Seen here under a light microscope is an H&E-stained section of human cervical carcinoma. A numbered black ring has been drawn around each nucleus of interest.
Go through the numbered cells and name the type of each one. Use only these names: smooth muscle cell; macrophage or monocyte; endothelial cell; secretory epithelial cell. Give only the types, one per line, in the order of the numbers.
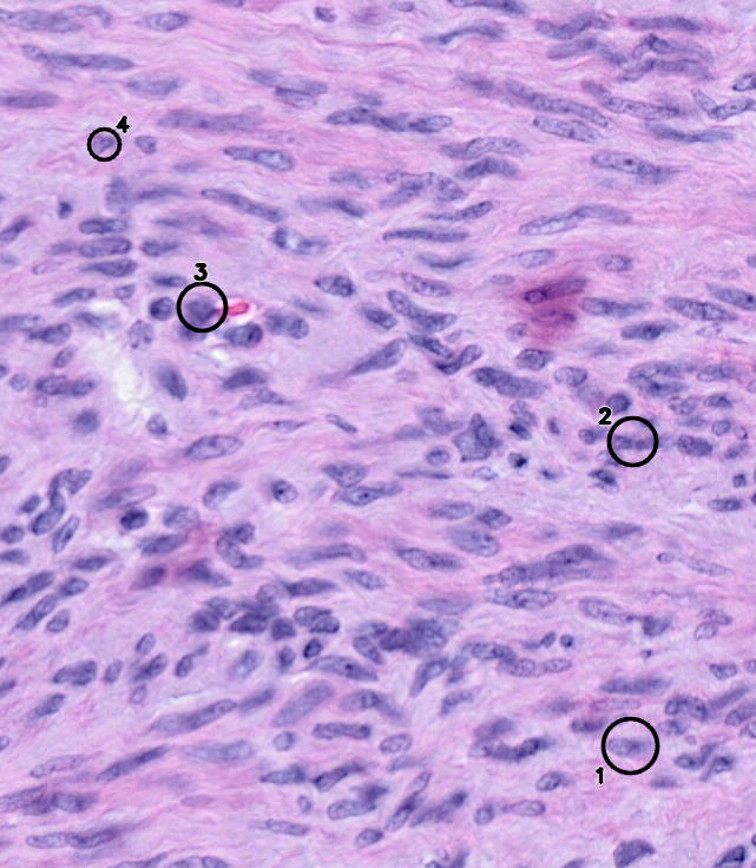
smooth muscle cell
smooth muscle cell
endothelial cell
smooth muscle cell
